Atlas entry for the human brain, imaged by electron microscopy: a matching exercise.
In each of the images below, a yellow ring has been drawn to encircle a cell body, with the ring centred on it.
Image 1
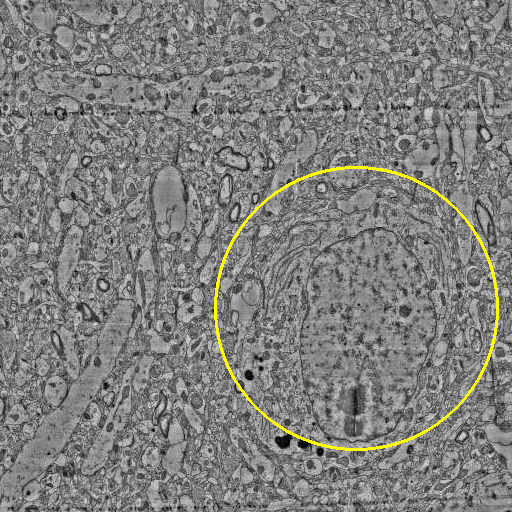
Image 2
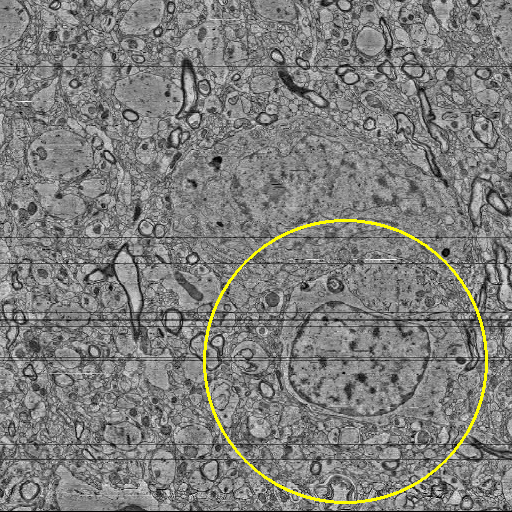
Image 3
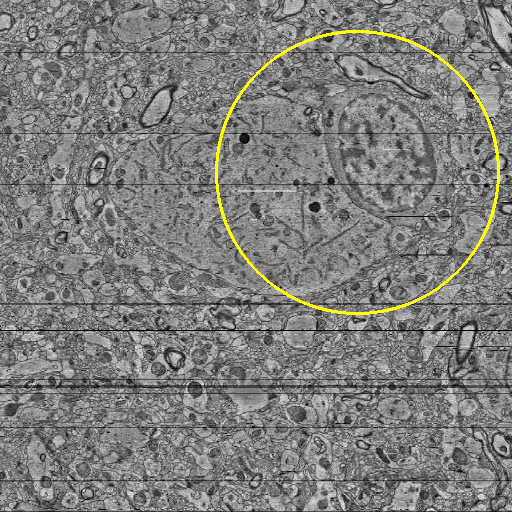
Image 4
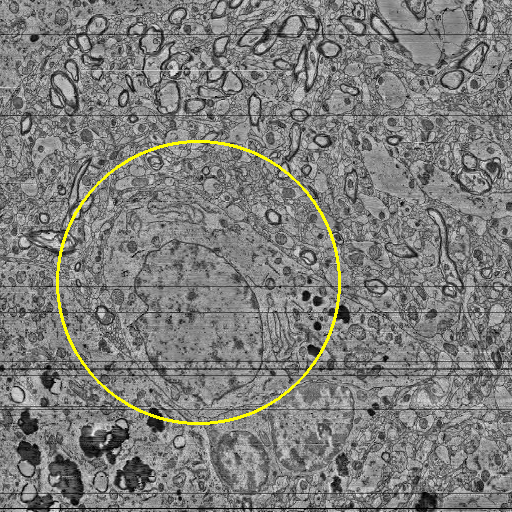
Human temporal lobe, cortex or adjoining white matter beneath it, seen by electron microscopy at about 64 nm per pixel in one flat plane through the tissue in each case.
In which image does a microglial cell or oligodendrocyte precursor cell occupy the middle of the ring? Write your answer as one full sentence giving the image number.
In image 2, the ring is centred on the cell in question.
